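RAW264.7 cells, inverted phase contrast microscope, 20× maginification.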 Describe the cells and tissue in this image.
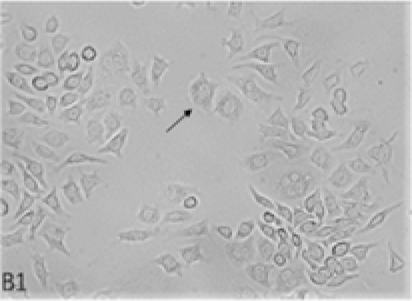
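Loosely clustered cultured cells lie on a plain background in mixed forms. Some are small, round and bright-rimmed, while others are flattened with angular, polygonal or spindle outlines, a pale granular cytoplasm and short tapering extensions. The flattened angular cells are cells that have taken on different shapes, including spindle, pentagon and diamond.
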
